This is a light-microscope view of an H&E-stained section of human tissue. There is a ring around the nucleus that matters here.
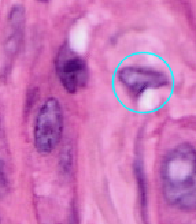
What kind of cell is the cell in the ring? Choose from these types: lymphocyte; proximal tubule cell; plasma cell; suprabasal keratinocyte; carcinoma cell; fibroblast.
fibroblast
